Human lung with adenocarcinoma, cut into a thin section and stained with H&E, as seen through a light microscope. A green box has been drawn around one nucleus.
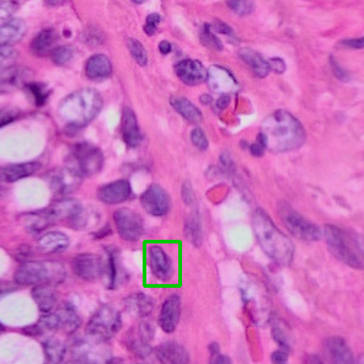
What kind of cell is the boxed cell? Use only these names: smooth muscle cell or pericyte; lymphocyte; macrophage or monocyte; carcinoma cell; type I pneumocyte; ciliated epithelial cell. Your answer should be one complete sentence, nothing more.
As a matter of cell type, the boxed cell is a ciliated epithelial cell.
